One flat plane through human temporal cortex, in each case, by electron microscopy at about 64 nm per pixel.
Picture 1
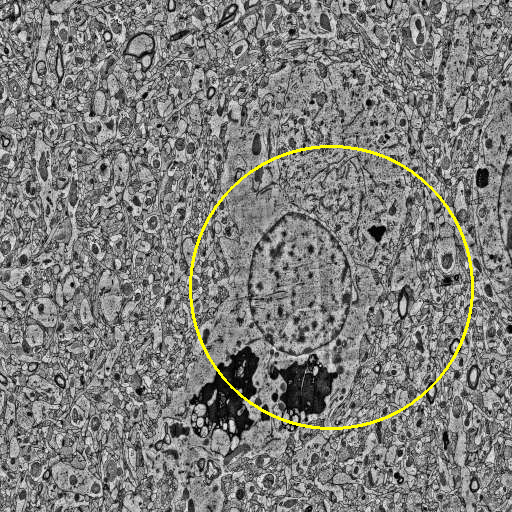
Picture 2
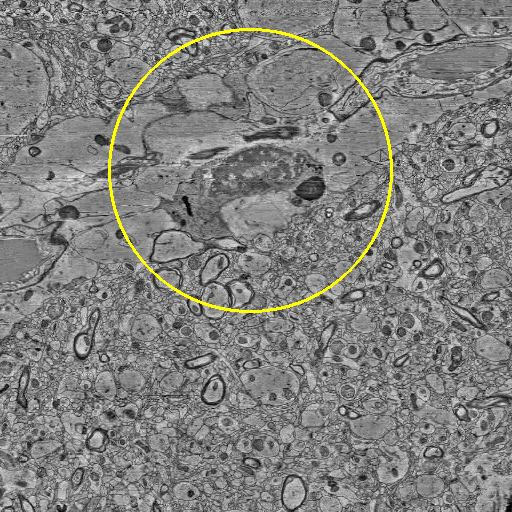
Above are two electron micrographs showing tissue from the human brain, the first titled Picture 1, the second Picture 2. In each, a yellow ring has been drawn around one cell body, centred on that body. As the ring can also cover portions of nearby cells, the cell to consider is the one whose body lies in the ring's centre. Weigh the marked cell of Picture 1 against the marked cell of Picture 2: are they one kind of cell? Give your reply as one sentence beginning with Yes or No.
No, the two cells sitting at the ring centres in the pictures are of two kinds.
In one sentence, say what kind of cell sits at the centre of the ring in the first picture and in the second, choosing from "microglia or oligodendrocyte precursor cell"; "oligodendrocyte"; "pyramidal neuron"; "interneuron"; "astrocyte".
The first picture's ringed cell is an astrocyte, while the second picture's is an oligodendrocyte.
